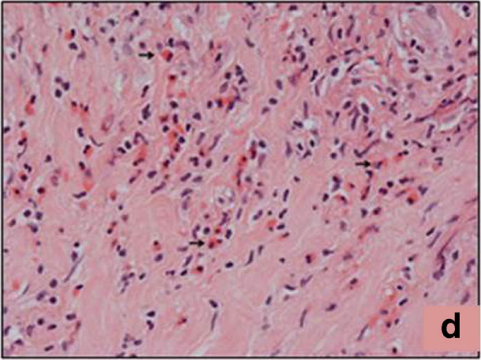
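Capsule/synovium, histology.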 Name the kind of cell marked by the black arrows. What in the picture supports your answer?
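The arrowed cells have bright orange-red granular cytoplasm. These cells are scattered among spindle-shaped nuclei in pink fibrous stroma. The answer: eosinophil polymorph.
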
